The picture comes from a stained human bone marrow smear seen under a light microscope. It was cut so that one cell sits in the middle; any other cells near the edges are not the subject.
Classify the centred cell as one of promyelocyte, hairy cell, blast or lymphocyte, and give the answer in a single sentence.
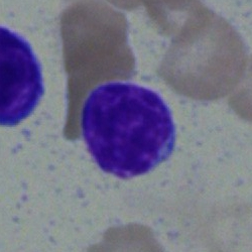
The cell at the middle of the frame should be recorded as a lymphocyte.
